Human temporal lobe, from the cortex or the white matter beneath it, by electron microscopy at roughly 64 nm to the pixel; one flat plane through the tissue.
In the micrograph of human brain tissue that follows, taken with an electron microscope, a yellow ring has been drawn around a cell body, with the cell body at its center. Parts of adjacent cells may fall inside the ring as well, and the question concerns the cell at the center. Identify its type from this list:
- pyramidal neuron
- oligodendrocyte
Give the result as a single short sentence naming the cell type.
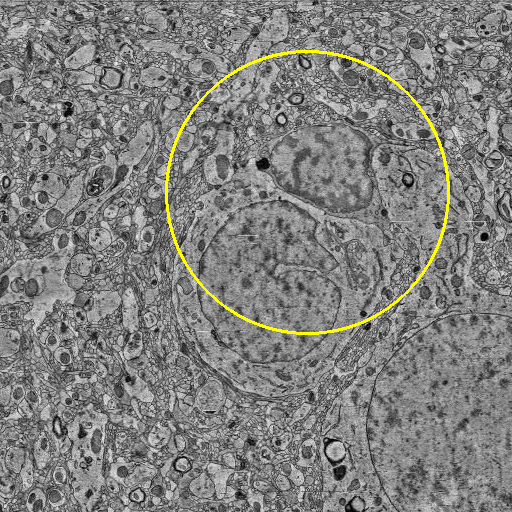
The ring is centered on an oligodendrocyte.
